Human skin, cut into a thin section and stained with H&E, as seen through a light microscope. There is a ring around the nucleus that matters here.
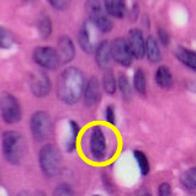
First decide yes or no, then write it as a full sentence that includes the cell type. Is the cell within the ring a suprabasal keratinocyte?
No, rather than a suprabasal keratinocyte, the cell within the ring is a basal keratinocyte.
